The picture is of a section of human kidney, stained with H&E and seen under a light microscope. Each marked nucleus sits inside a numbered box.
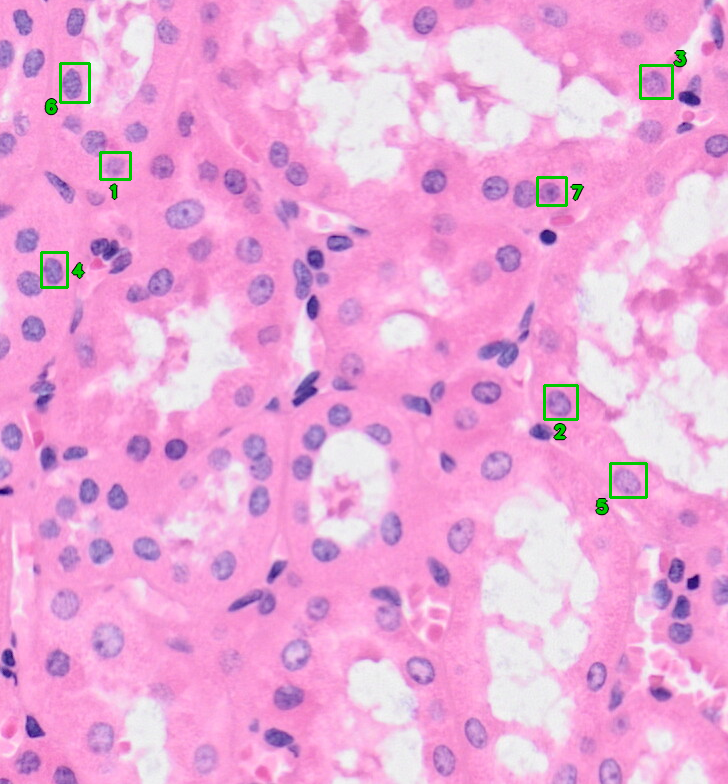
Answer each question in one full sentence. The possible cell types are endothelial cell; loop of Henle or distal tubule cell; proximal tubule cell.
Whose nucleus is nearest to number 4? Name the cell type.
The cell nearest to number 4 is a loop of Henle or distal tubule cell.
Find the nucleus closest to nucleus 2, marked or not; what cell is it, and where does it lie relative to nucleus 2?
Lying below and to the left of nucleus 2, the nearest nucleus is that of an endothelial cell.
